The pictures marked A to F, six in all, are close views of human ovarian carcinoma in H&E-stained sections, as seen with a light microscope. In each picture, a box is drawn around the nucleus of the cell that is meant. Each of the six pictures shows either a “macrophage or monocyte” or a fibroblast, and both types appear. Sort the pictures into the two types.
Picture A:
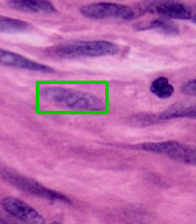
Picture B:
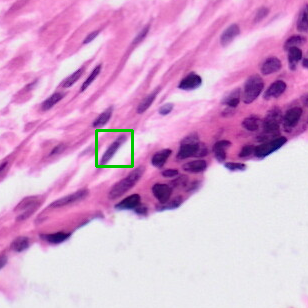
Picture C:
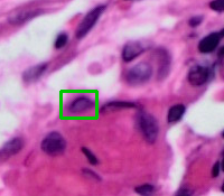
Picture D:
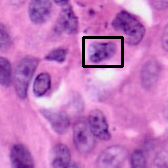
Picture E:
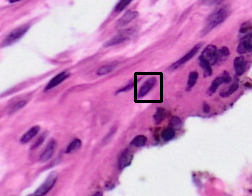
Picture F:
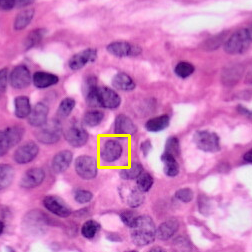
A: fibroblast
B: fibroblast
C: fibroblast
D: macrophage or monocyte
E: fibroblast
F: macrophage or monocyte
